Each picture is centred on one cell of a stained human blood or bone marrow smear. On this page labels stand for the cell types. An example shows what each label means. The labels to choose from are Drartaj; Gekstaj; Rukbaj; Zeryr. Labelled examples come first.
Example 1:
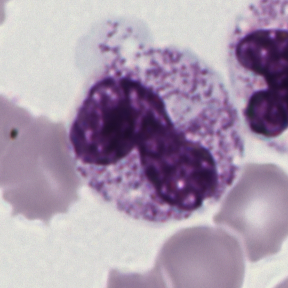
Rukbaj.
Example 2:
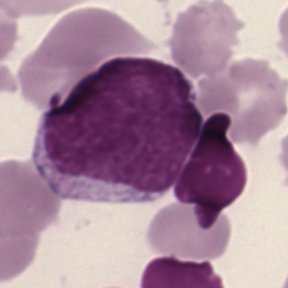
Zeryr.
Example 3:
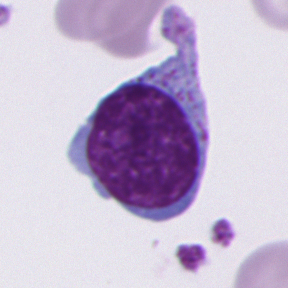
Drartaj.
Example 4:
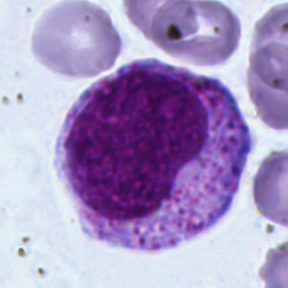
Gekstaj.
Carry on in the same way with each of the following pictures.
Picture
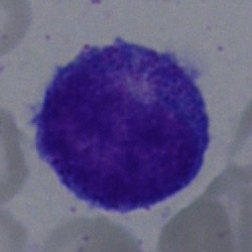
Gekstaj.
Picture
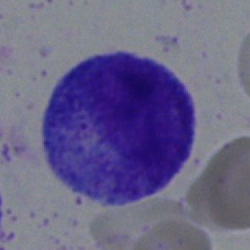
Gekstaj.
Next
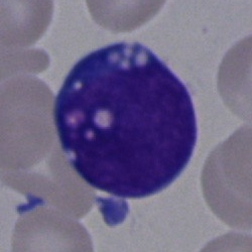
Zeryr.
